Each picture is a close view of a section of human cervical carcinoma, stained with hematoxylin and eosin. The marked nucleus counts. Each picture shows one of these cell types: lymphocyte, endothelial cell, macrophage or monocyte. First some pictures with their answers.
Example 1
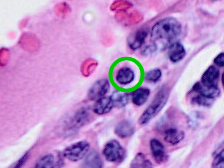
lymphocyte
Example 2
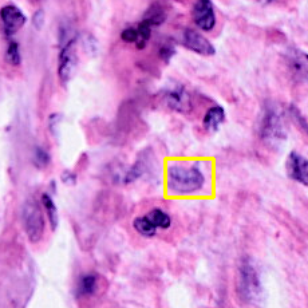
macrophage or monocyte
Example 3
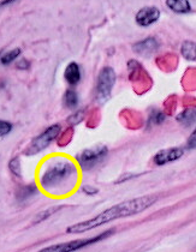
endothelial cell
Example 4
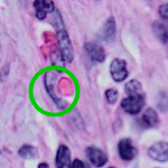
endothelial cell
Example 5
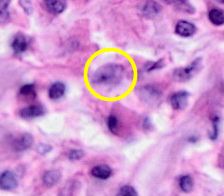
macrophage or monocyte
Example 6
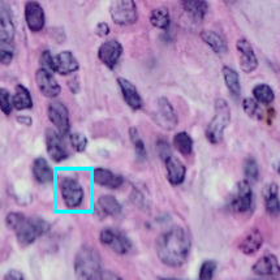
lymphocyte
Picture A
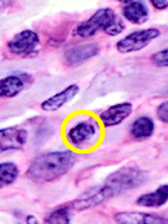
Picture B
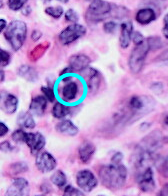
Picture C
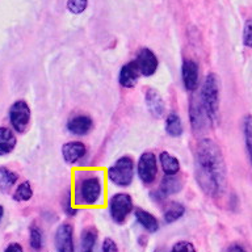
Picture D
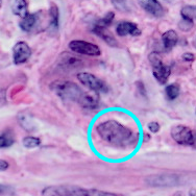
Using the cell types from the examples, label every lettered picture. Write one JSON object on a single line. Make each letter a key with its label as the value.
{"A": "lymphocyte", "B": "lymphocyte", "C": "lymphocyte", "D": "macrophage or monocyte"}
